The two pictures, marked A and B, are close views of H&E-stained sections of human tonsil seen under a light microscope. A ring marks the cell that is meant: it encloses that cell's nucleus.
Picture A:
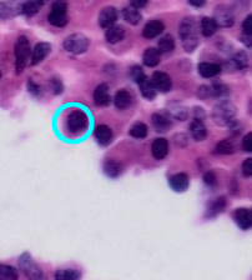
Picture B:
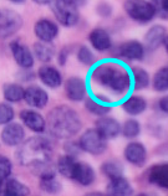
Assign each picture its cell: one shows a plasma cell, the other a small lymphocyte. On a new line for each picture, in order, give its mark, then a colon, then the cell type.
A: plasma cell
B: small lymphocyte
